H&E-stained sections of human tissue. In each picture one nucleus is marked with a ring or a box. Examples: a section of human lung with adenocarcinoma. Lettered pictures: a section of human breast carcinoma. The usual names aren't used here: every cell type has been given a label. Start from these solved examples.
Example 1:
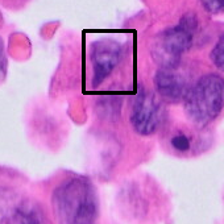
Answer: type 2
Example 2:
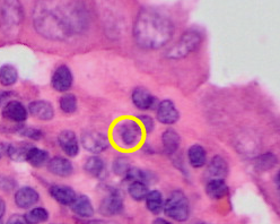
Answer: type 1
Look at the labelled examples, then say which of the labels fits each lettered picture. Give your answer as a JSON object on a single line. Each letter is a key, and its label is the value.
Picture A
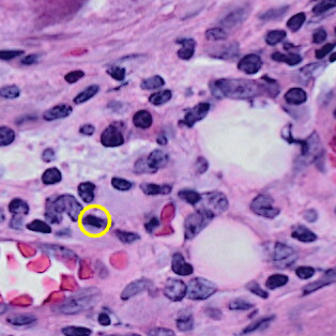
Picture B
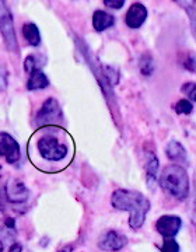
{"A": "type 1", "B": "type 1"}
